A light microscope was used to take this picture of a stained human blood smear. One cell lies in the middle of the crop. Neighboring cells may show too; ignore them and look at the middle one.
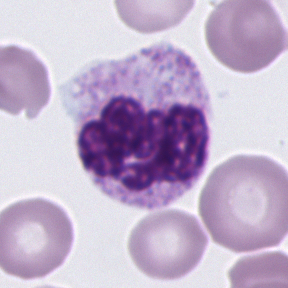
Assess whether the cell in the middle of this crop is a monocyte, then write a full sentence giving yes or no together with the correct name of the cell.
No, this cell in the middle is a neutrophil, so it is not a monocyte.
